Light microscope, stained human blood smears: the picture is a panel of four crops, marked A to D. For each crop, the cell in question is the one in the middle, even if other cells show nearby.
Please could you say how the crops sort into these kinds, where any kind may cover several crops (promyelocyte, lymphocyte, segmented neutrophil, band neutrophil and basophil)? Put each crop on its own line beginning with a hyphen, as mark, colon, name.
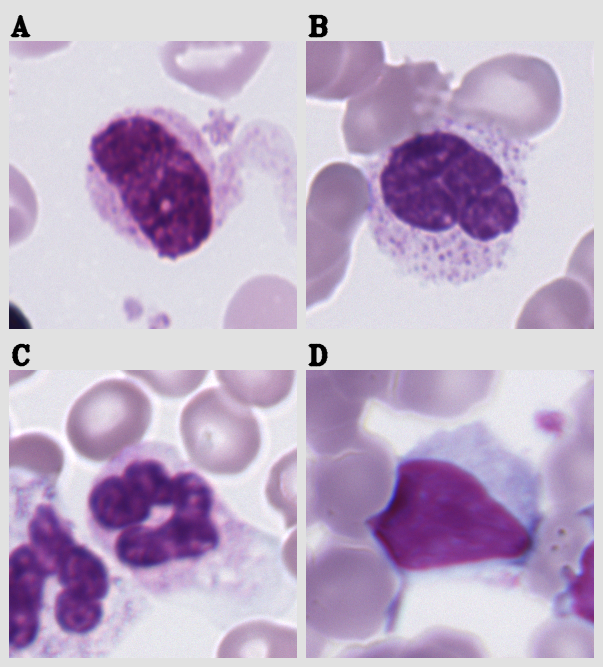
- A: band neutrophil
- B: segmented neutrophil
- C: segmented neutrophil
- D: lymphocyte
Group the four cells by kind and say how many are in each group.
segmented neutrophil: 2
band neutrophil: 1
lymphocyte: 1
